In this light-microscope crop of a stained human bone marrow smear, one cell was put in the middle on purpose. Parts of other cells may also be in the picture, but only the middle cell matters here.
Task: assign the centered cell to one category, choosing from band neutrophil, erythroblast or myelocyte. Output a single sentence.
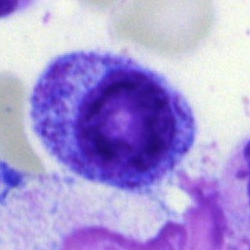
Among the cells in view, the one in the middle is a myelocyte.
